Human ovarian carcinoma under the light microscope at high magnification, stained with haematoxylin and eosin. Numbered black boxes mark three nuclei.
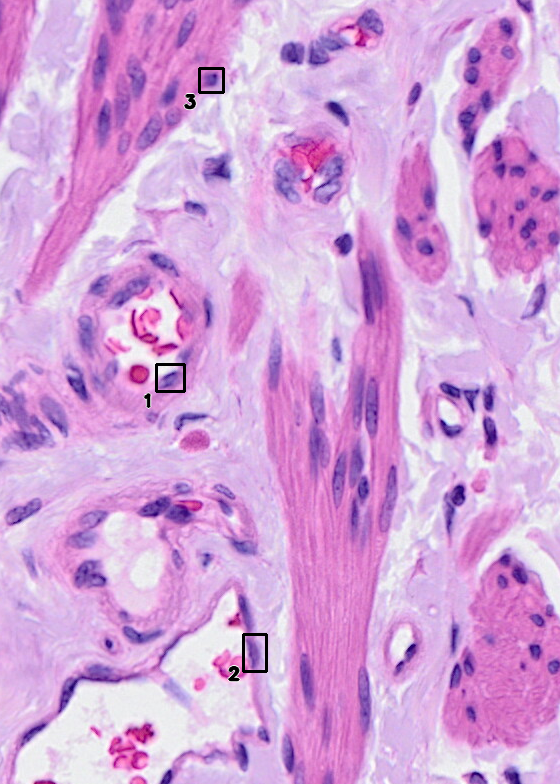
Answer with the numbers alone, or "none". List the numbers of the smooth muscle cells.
3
